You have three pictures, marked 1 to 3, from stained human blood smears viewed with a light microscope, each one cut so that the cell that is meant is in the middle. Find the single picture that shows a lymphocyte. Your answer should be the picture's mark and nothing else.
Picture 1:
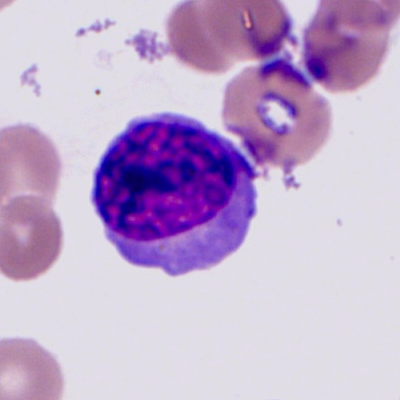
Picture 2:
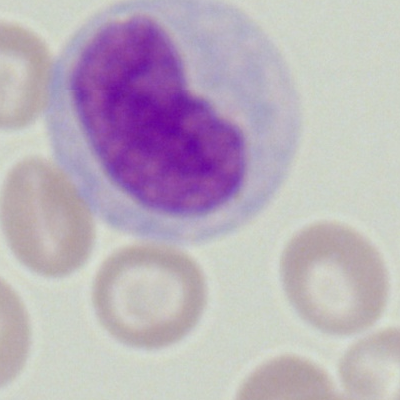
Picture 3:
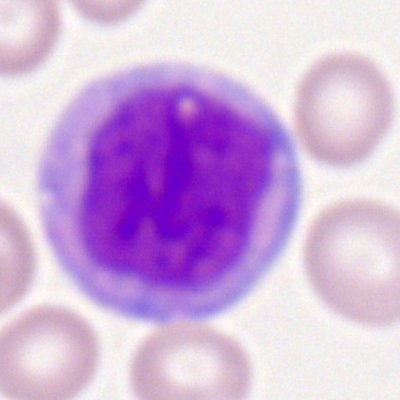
1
